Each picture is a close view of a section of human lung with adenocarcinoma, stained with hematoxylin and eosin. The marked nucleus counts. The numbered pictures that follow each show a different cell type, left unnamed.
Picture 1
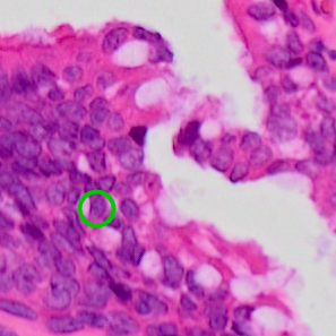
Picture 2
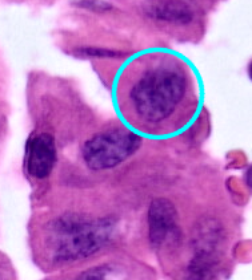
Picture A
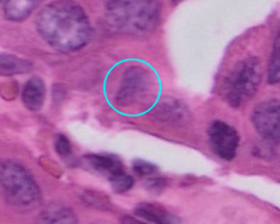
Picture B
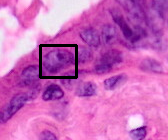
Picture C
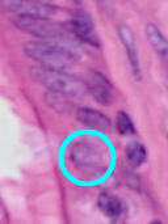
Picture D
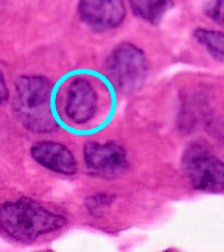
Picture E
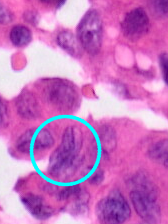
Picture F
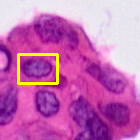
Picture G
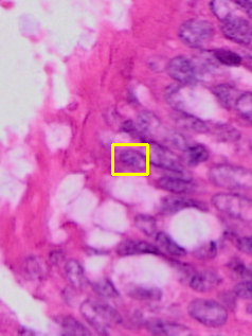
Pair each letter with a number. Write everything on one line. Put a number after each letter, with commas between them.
A 2, B 1, C 1, D 2, E 2, F 2, G 1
